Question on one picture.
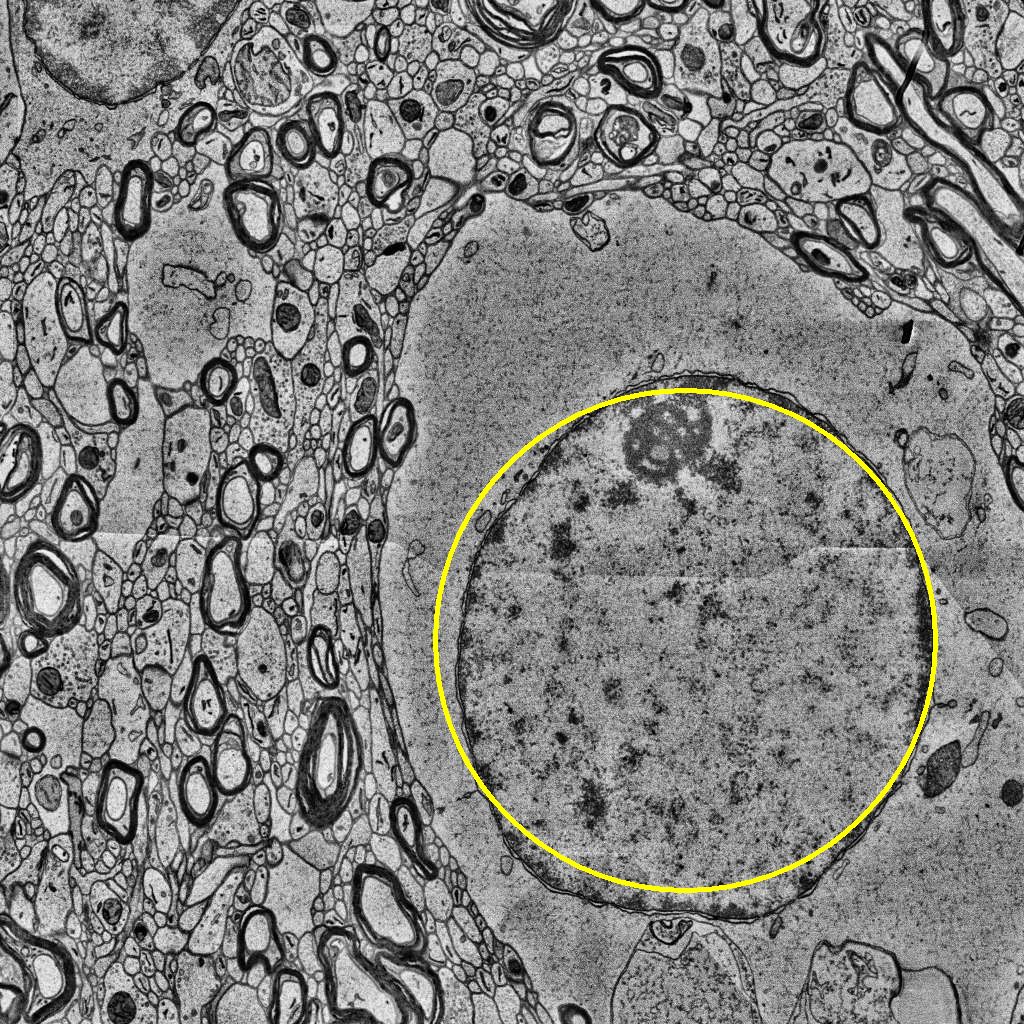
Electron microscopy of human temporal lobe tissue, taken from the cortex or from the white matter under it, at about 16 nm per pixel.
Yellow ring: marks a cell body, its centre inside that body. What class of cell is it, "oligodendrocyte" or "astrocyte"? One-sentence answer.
This is an astrocyte, the cell at the ring's centre.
